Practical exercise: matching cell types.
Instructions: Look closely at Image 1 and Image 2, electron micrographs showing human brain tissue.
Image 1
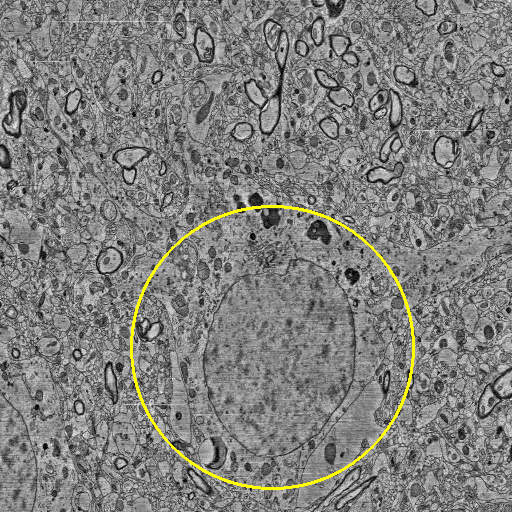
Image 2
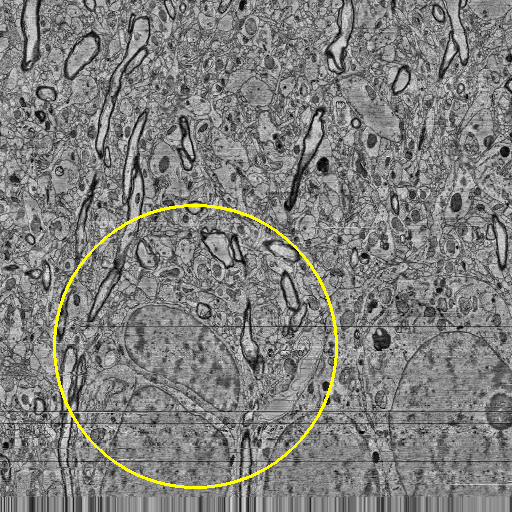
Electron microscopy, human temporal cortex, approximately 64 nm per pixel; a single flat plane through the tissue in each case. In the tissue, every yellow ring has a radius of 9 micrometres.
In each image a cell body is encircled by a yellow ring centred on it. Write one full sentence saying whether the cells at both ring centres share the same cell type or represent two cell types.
Across Image 1 and Image 2, the cells at the ring centres represent two cell types.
